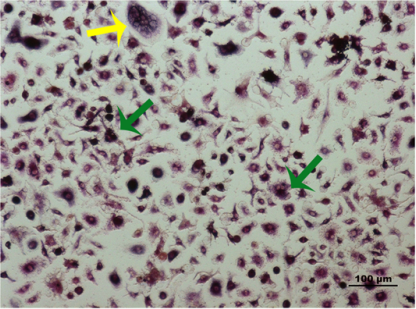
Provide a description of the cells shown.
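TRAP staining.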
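Culture of preosteoclasts with an occasional larger multinucleated osteoclast. Most cells are mononuclear, rounded to polygonal, with a dark purple nucleus and pinkish-purple cytoplasm bearing short processes. The cells are spread evenly and fairly densely across the field without forming sheets. A few cells are larger and oval with more than one nucleus and darker staining. Scattered dark clumps of debris lie among the cells.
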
